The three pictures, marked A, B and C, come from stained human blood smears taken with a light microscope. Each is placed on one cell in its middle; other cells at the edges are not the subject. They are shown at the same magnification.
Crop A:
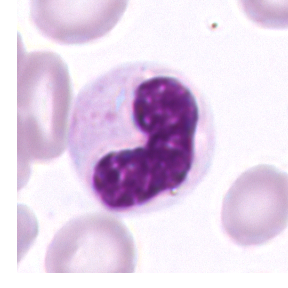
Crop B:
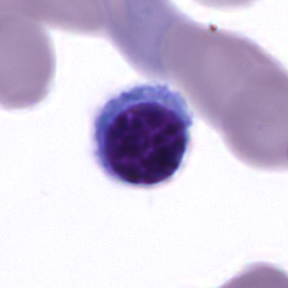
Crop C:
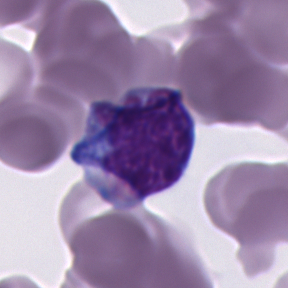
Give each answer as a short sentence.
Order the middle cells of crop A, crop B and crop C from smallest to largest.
From the smallest up, the order is B, C, A.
